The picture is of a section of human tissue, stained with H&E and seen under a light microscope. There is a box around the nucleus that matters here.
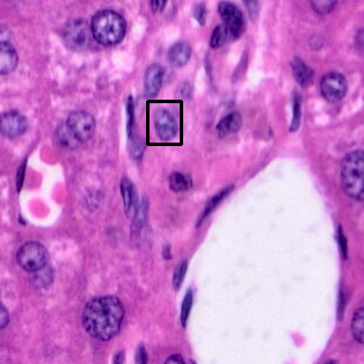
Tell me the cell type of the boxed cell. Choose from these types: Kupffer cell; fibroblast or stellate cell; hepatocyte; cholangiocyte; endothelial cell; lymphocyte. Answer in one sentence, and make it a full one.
In this preparation, the boxed cell is a cholangiocyte.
